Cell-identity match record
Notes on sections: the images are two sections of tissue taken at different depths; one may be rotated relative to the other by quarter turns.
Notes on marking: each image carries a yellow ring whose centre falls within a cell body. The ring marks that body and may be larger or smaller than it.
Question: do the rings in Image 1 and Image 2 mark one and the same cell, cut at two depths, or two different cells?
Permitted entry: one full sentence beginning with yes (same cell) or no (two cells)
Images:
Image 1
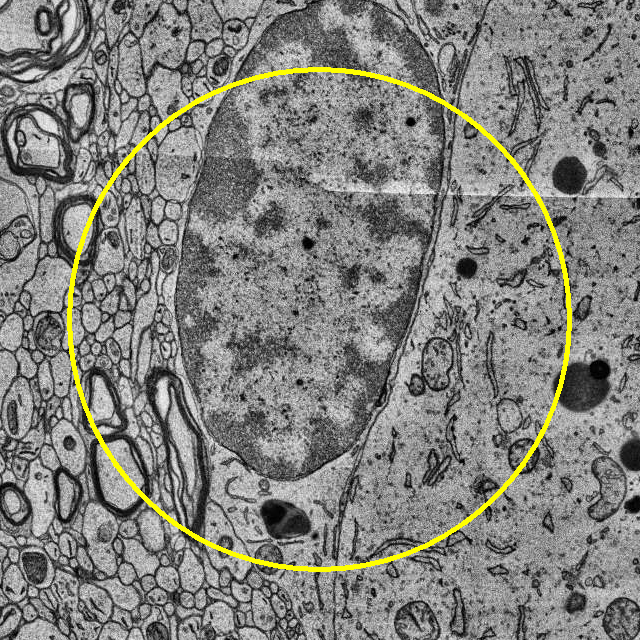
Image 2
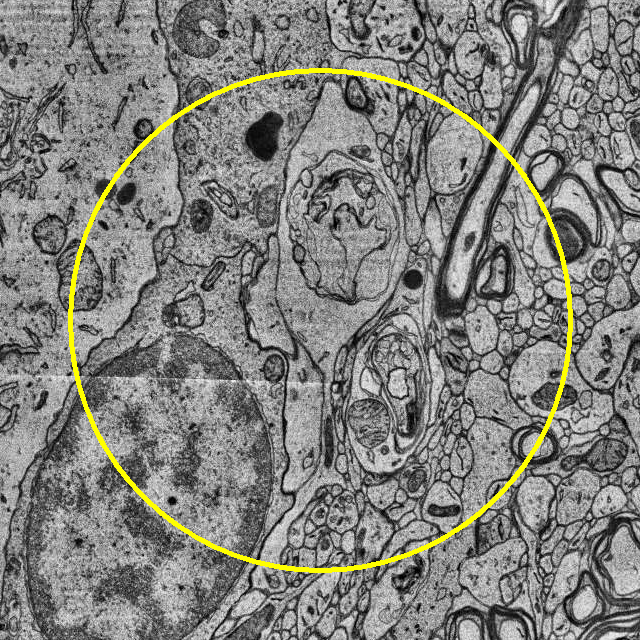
Yes, the two marked outlines come from one and the same cell.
